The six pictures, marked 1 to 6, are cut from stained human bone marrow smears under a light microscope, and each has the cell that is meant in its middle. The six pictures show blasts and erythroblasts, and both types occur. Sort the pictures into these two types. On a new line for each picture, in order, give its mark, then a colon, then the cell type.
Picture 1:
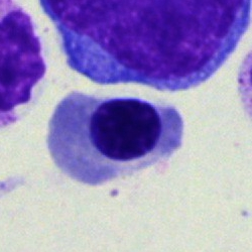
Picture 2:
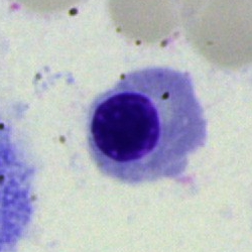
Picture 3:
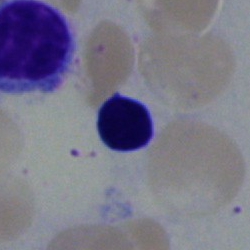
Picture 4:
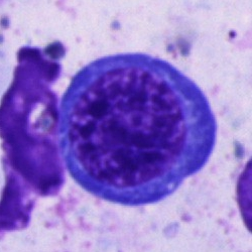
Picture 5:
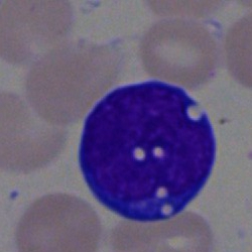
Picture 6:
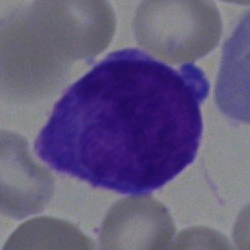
1: erythroblast
2: erythroblast
3: erythroblast
4: erythroblast
5: blast
6: blast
